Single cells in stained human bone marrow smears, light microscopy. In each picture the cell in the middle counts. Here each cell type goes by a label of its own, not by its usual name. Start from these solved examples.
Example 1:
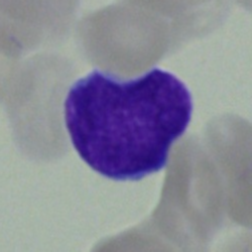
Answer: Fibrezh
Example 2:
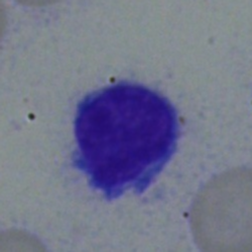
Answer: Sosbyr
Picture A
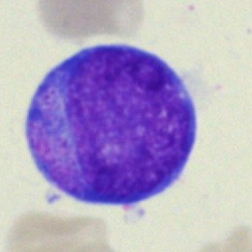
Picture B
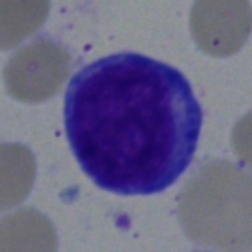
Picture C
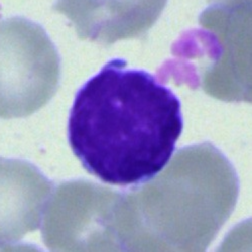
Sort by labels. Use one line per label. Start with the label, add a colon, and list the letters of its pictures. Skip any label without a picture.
Fibrezh: A, B
Sosbyr: C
